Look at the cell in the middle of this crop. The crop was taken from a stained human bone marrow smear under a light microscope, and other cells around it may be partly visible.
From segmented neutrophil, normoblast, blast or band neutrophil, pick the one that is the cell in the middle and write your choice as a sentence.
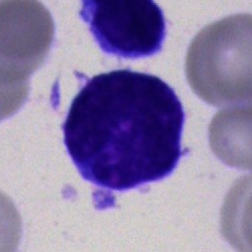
Looking at the middle of the crop, the cell there is a blast.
